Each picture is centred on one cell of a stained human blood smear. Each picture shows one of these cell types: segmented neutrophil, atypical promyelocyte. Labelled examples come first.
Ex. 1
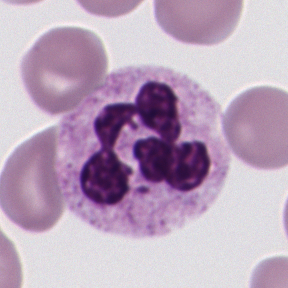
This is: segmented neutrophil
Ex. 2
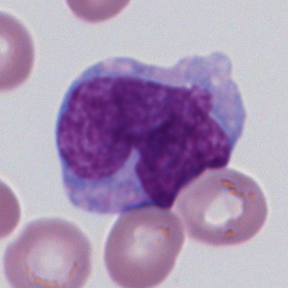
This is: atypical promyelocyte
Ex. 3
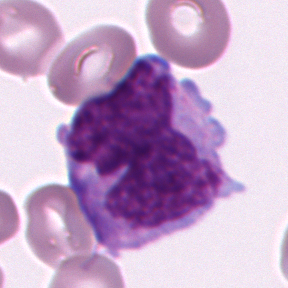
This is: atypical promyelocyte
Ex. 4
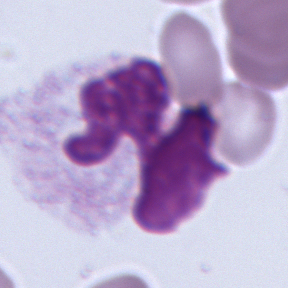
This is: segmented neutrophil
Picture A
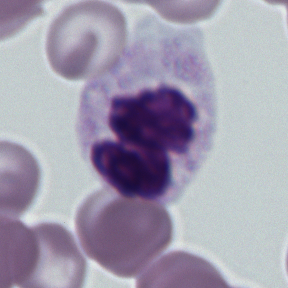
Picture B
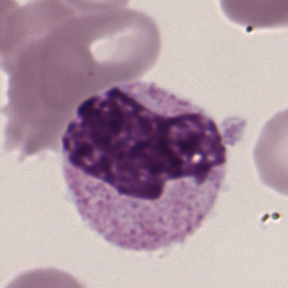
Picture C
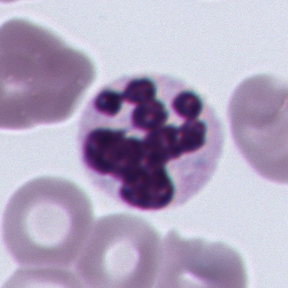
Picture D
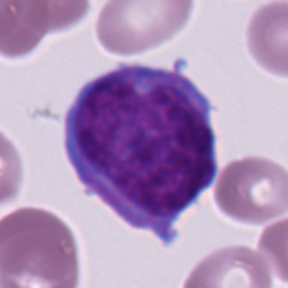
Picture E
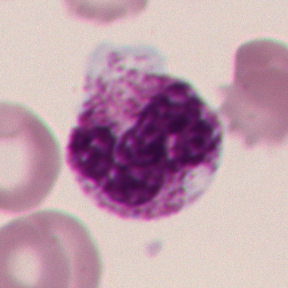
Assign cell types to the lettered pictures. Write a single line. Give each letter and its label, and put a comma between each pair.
A segmented neutrophil, B segmented neutrophil, C segmented neutrophil, D atypical promyelocyte, E segmented neutrophil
